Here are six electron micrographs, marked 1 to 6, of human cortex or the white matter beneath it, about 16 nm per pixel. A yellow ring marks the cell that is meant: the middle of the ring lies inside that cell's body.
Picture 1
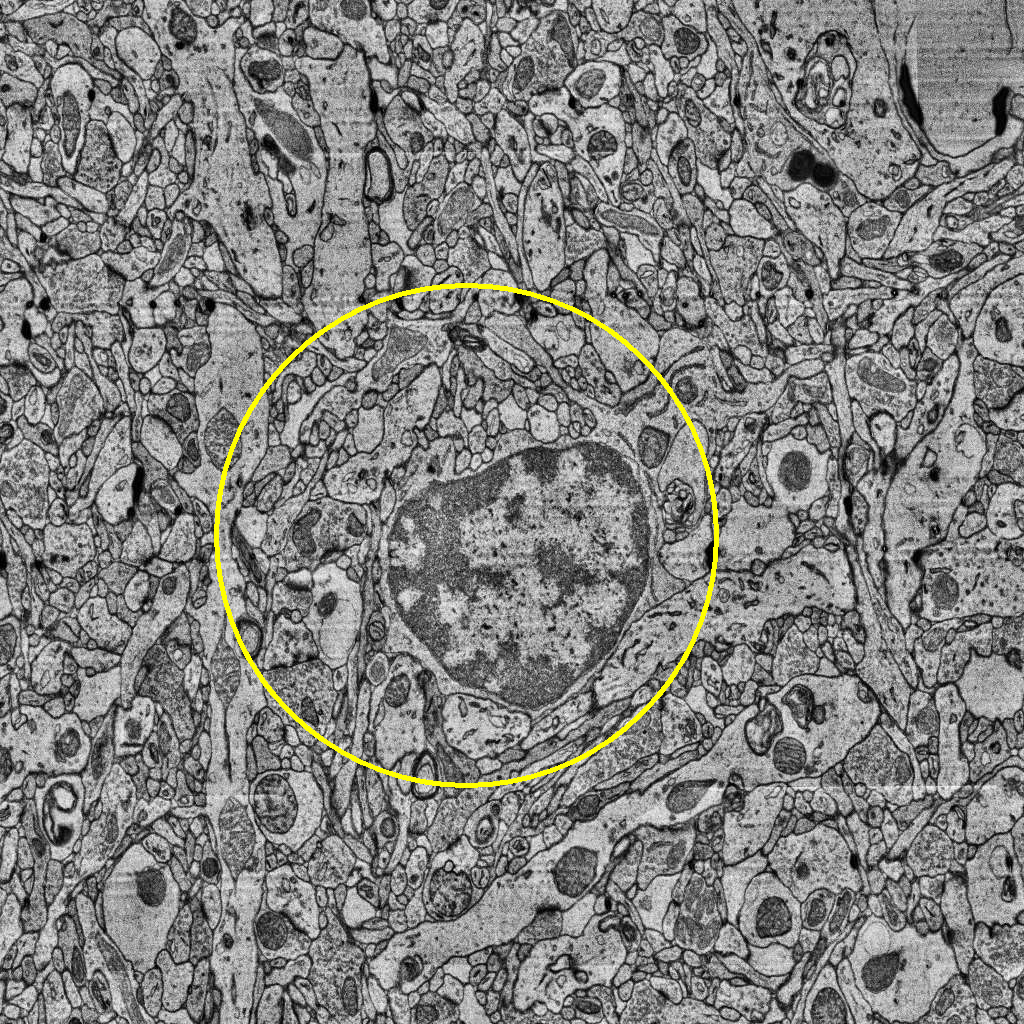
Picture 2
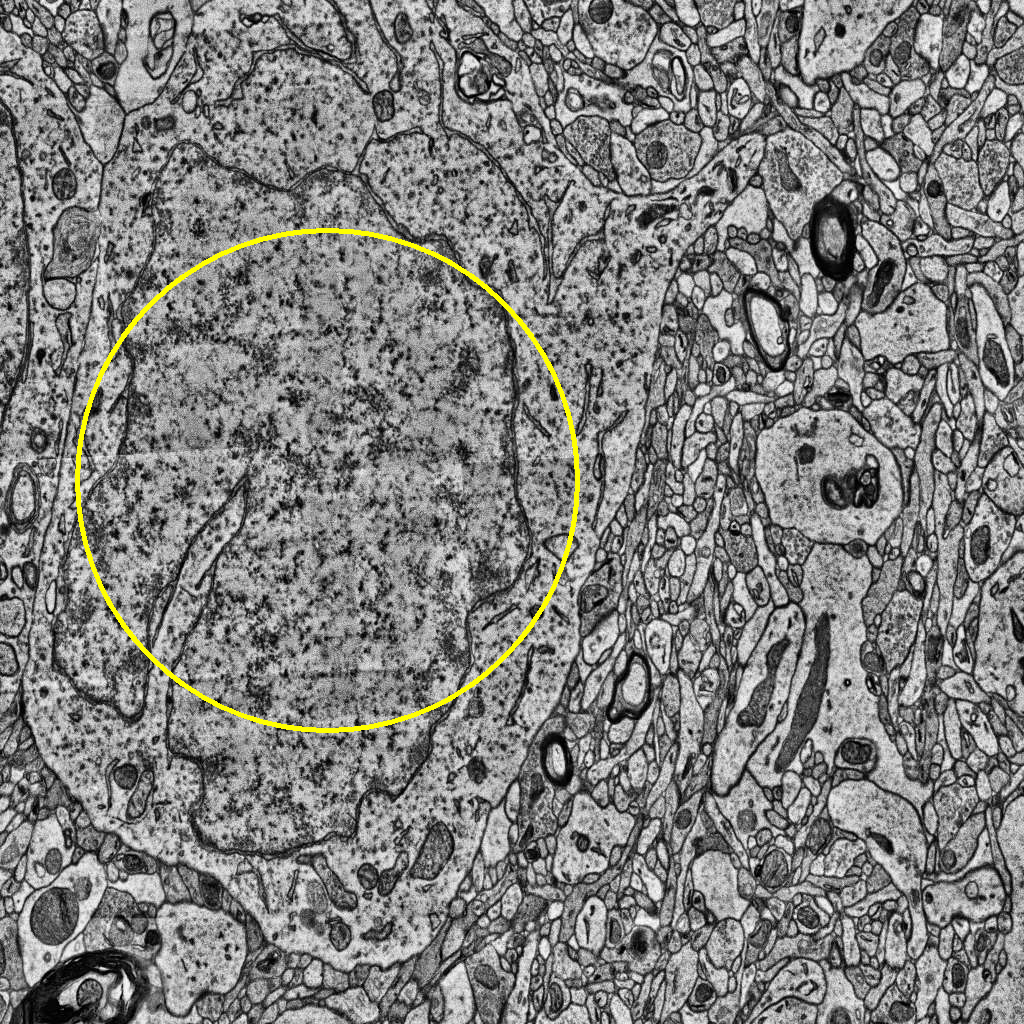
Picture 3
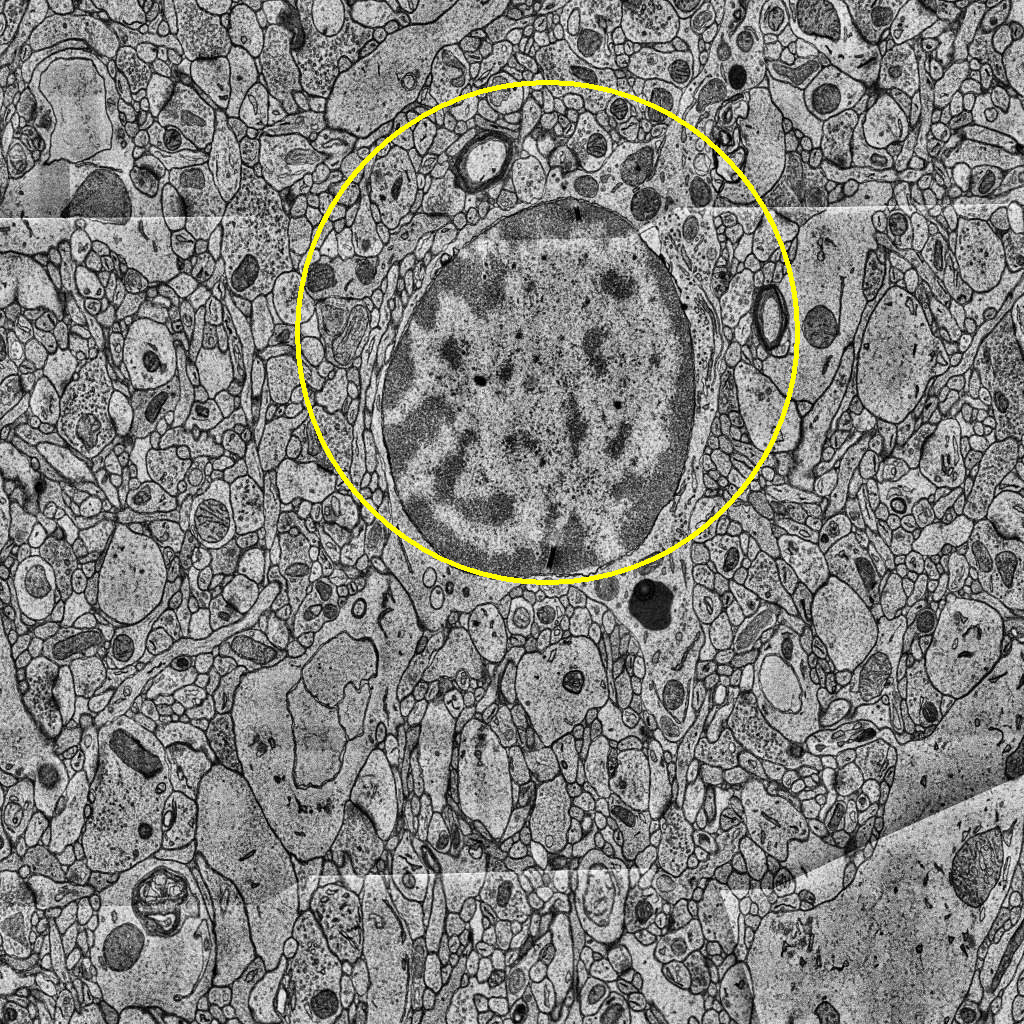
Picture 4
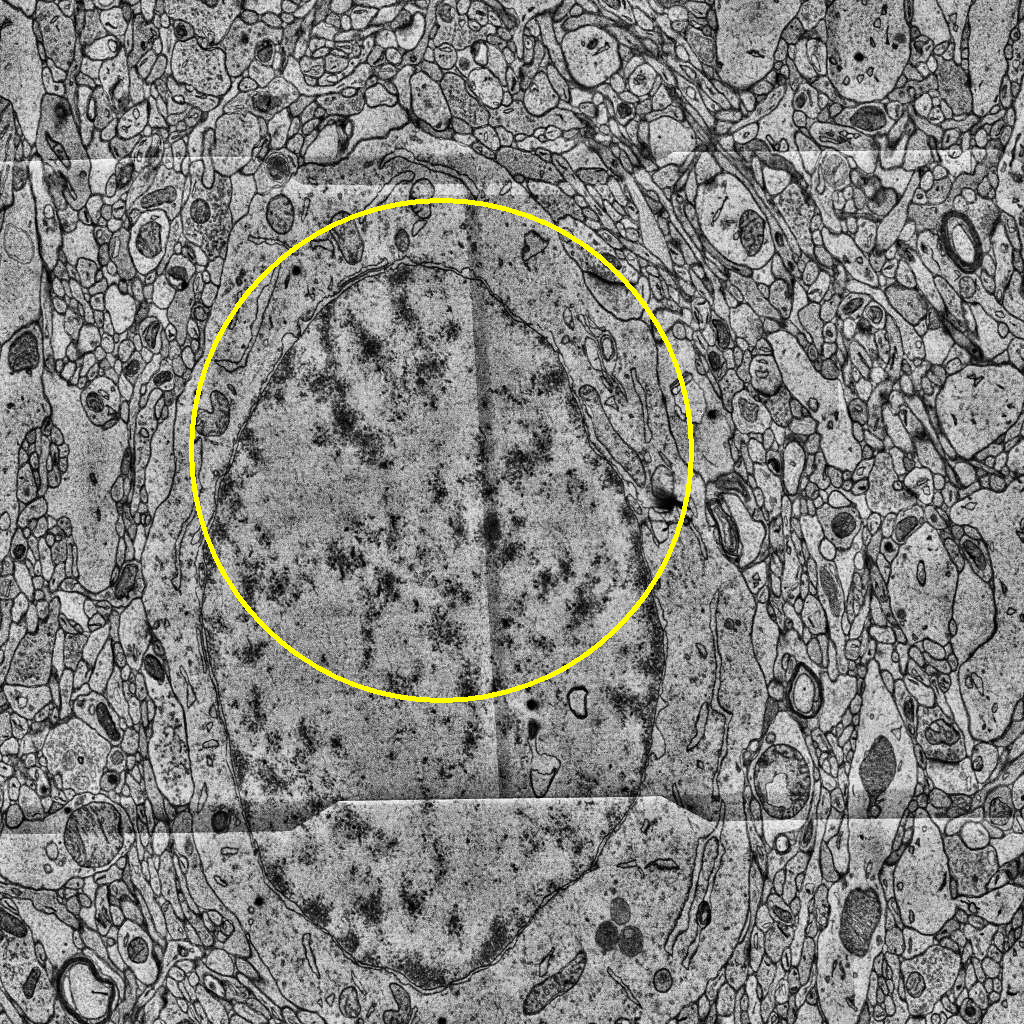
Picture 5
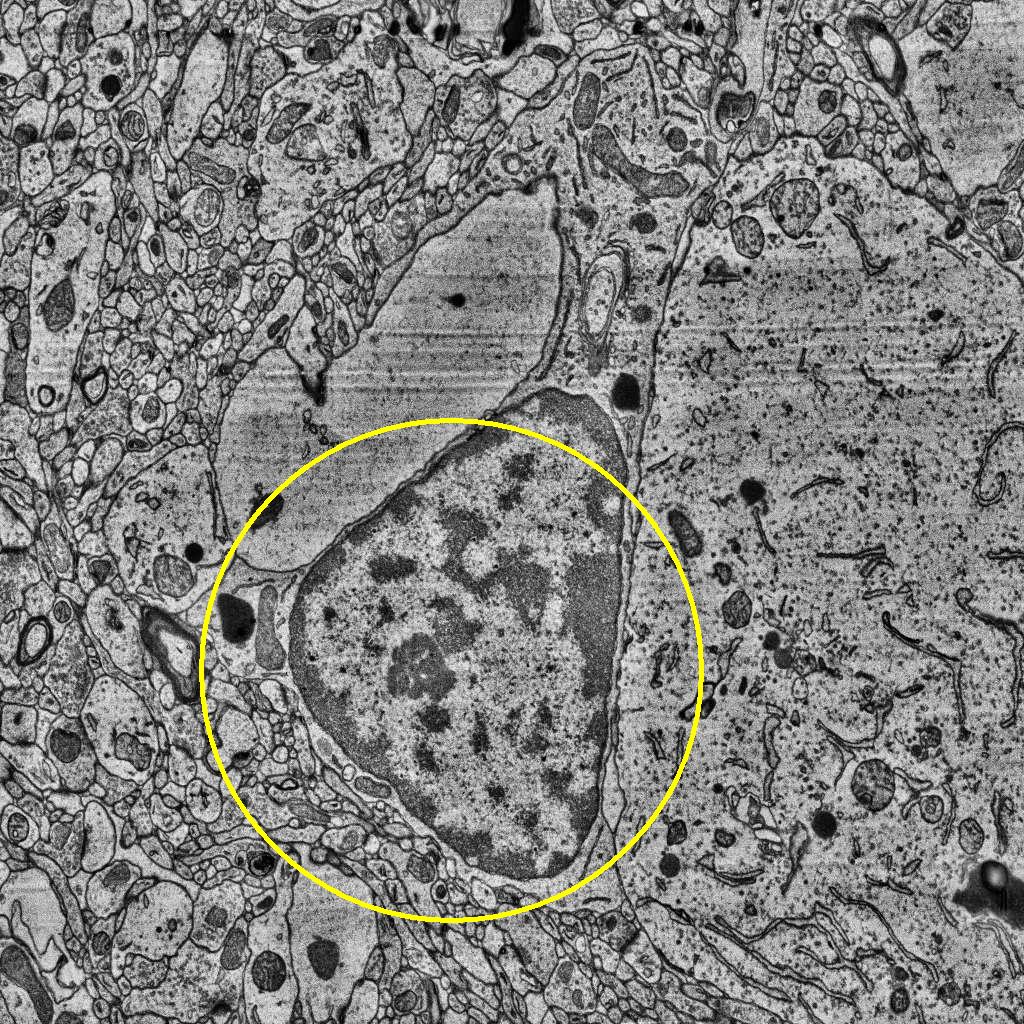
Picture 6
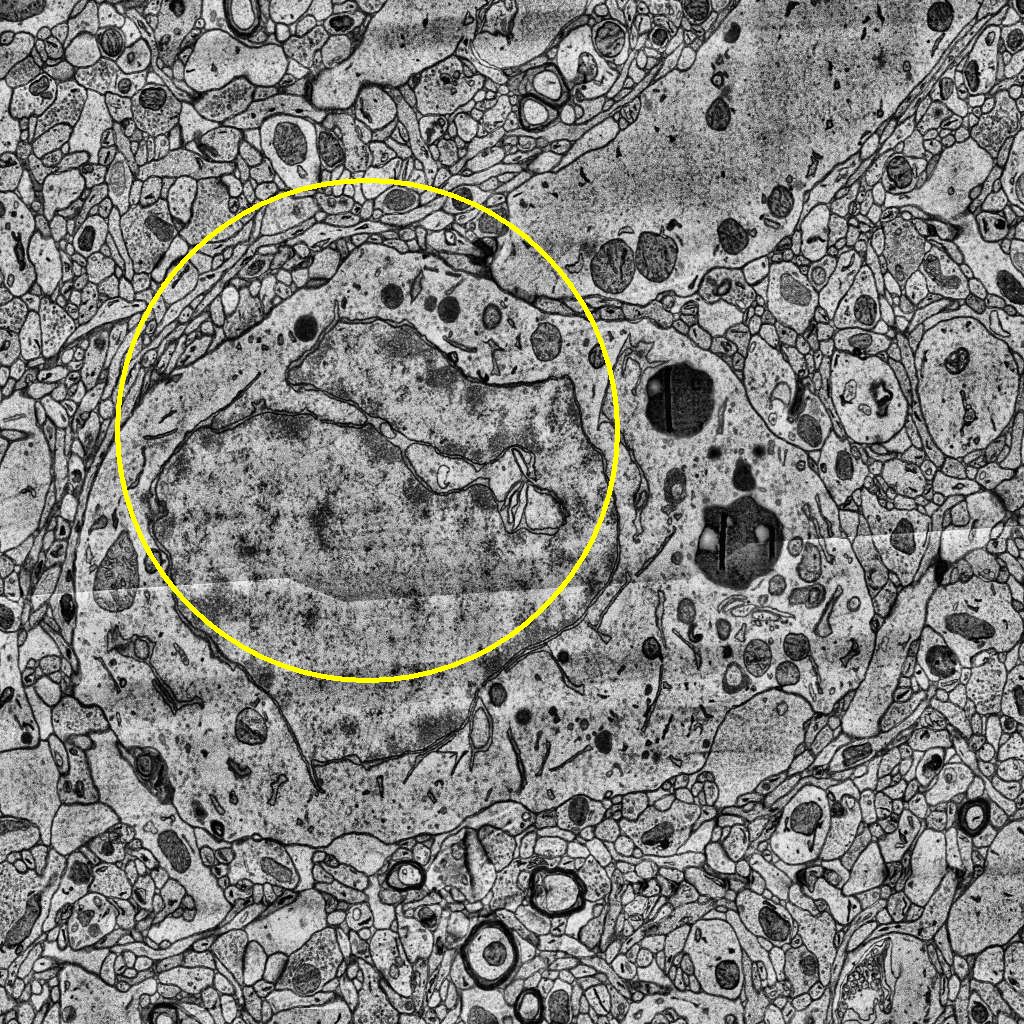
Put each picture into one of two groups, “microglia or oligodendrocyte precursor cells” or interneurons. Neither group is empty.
Pictures 1, 3 and 5 show “microglia or oligodendrocyte precursor cells”, while pictures 2, 4 and 6 show interneurons.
